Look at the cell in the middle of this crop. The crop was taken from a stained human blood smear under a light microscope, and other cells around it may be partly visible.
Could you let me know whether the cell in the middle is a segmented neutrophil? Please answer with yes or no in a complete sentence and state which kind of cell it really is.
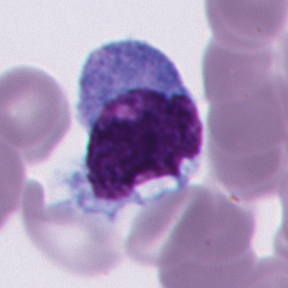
No, in the middle of the crop there is a monocyte rather than a segmented neutrophil.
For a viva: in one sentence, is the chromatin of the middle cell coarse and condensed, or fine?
Take a look at the chromatin, which is coarsely clumped.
